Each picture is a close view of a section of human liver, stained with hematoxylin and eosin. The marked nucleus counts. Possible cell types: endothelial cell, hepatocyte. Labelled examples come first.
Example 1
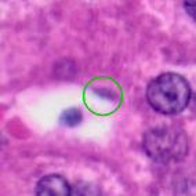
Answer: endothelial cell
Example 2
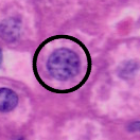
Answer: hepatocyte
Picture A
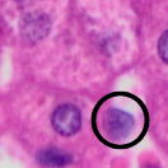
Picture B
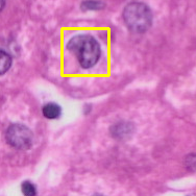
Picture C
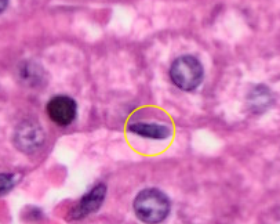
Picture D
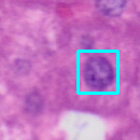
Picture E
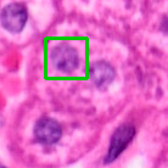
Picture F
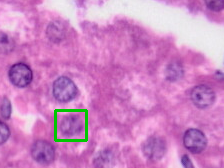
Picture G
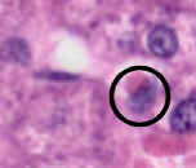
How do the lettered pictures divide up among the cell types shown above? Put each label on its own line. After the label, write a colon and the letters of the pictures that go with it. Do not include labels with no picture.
endothelial cell: A, C, G
hepatocyte: B, D, E, F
